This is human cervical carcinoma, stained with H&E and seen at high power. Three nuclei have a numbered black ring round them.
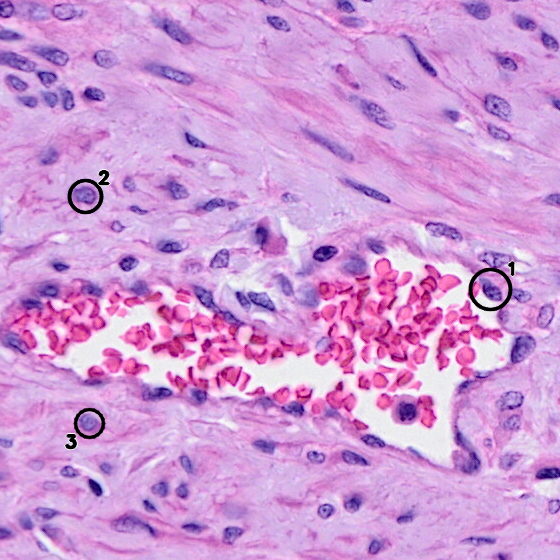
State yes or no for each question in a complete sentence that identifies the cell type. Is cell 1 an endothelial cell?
Yes, the cell that goes by number 1 is an endothelial cell.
